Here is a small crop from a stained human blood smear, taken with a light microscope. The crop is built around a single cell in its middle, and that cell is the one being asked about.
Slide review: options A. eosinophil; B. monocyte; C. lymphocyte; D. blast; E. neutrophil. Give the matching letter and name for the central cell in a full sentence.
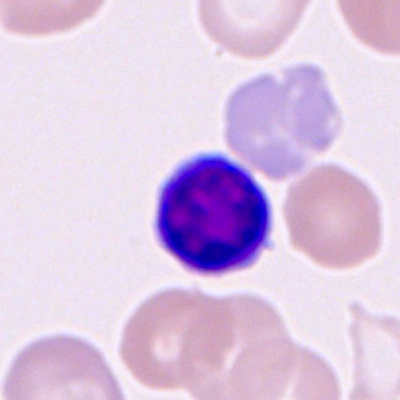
The one cell at the centre is a lymphocyte, as correctly stated in option C.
